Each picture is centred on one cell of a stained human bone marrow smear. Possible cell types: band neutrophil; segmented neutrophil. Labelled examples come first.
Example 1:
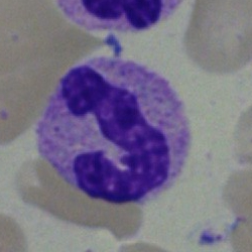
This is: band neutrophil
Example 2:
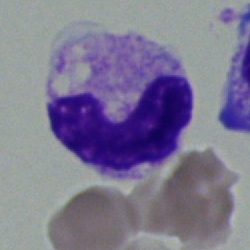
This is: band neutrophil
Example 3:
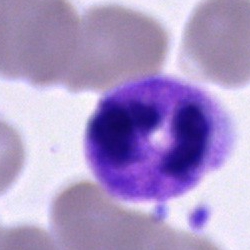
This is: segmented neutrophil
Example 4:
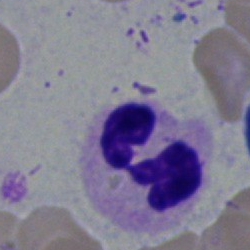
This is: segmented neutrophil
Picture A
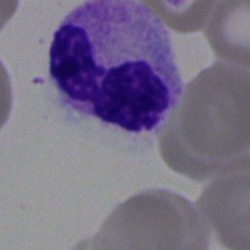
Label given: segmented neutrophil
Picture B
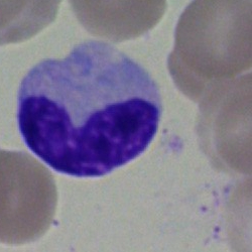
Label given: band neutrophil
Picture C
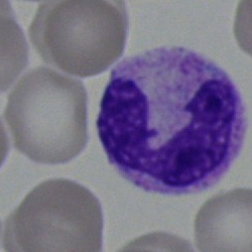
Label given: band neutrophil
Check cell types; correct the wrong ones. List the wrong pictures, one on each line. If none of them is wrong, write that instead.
Every label is right.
